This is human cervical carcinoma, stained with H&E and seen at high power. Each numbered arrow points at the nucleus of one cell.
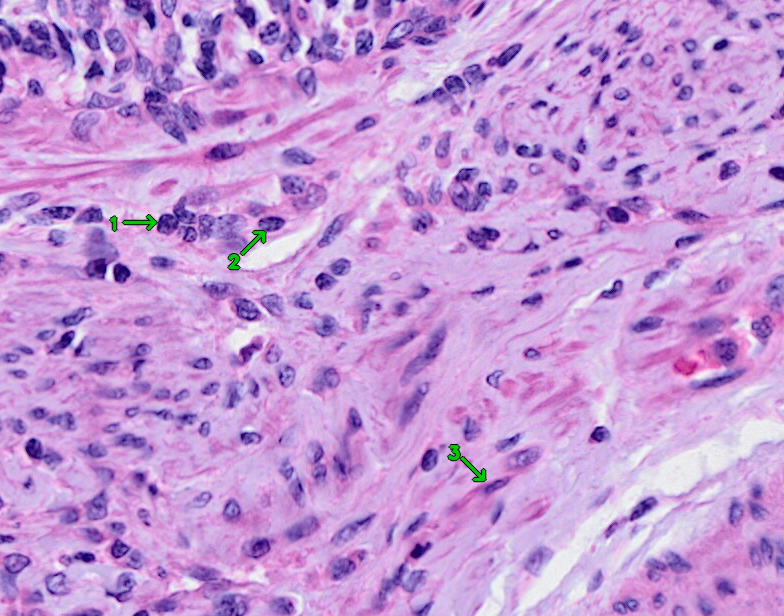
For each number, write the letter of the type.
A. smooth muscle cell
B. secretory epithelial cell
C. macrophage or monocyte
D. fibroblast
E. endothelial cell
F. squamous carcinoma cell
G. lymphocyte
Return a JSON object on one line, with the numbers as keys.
{"1": "G", "2": "G", "3": "A"}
